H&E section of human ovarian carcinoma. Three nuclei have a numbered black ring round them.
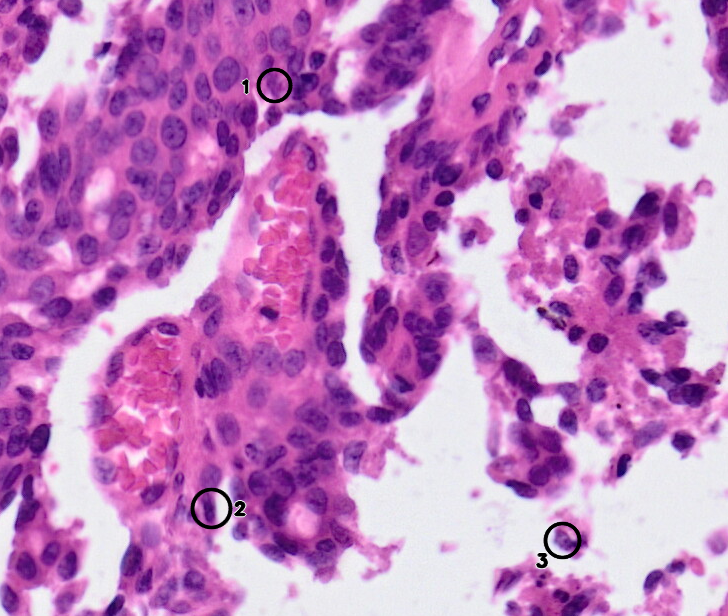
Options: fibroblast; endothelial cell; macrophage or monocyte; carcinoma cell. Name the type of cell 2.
carcinoma cell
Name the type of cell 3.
macrophage or monocyte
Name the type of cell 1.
carcinoma cell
